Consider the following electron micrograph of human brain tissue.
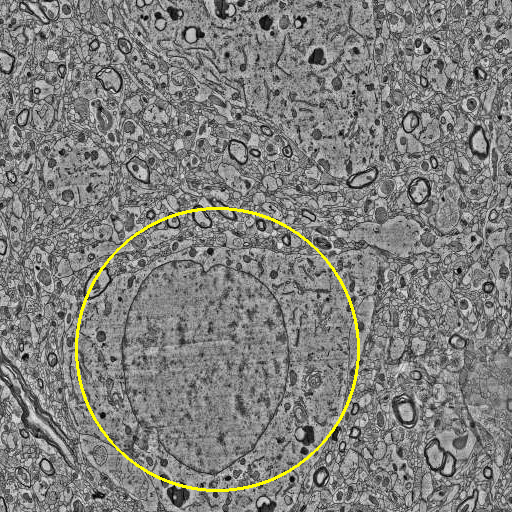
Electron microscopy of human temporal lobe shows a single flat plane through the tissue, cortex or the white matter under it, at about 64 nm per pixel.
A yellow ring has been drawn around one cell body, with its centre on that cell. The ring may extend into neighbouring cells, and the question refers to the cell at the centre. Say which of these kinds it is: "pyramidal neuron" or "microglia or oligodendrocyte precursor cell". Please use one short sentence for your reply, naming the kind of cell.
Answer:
The centre of the ring falls on a pyramidal neuron.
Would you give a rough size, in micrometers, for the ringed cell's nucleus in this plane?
The ringed cell's nucleus measures approximately 14 by 11 micrometres in this plane.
